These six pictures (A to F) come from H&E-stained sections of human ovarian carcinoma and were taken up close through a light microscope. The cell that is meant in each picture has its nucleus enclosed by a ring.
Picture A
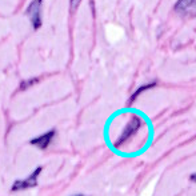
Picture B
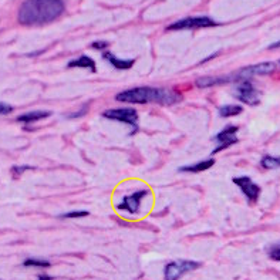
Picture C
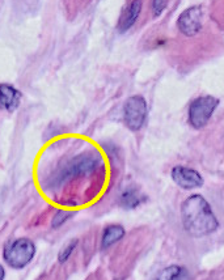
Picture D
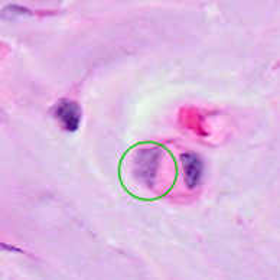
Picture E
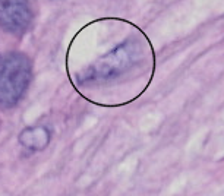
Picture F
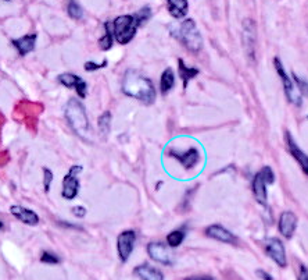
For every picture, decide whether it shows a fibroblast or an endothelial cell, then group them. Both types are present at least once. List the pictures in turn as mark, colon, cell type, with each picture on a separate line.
A: fibroblast
B: fibroblast
C: endothelial cell
D: endothelial cell
E: fibroblast
F: fibroblast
